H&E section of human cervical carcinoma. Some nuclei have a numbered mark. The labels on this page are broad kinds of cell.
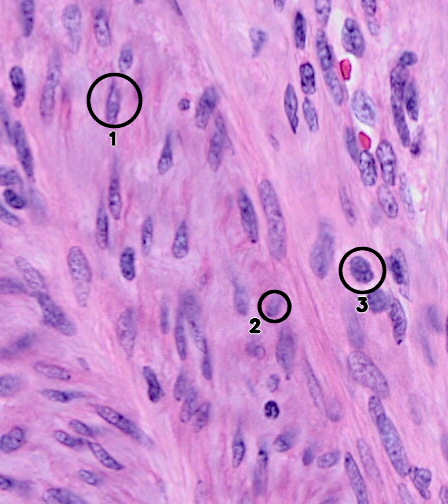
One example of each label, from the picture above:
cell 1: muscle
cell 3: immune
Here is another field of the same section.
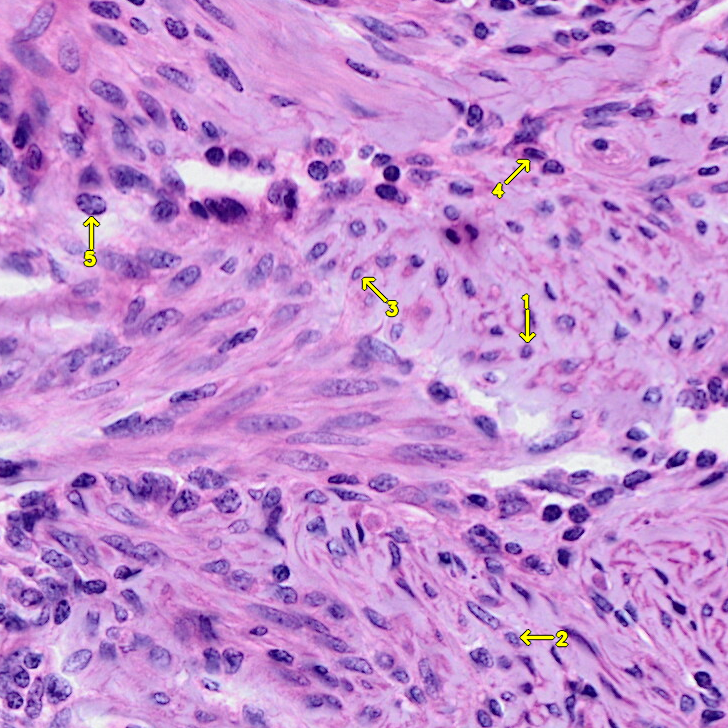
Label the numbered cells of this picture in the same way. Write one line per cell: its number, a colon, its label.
1: muscle
2: muscle
3: muscle
4: immune
5: immune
